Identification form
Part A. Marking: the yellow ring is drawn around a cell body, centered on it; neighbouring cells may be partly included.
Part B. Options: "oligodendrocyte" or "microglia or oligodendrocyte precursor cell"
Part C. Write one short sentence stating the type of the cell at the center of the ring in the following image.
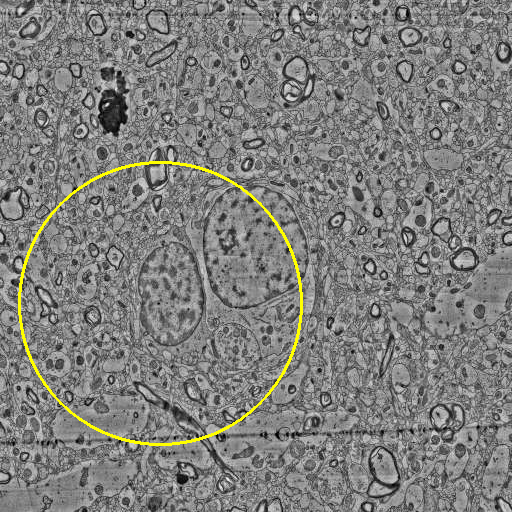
The center of the ring holds an oligodendrocyte.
